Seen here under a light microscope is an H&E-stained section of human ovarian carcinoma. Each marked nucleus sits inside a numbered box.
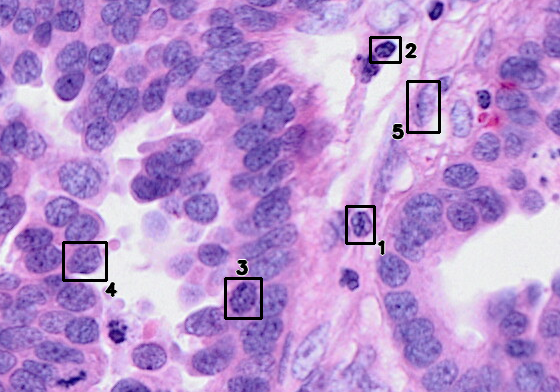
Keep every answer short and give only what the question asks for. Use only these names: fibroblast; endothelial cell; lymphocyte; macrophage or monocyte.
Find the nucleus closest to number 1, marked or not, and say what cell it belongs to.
fibroblast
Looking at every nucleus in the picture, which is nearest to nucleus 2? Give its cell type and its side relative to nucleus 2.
a macrophage or monocyte, below and to the left of nucleus 2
